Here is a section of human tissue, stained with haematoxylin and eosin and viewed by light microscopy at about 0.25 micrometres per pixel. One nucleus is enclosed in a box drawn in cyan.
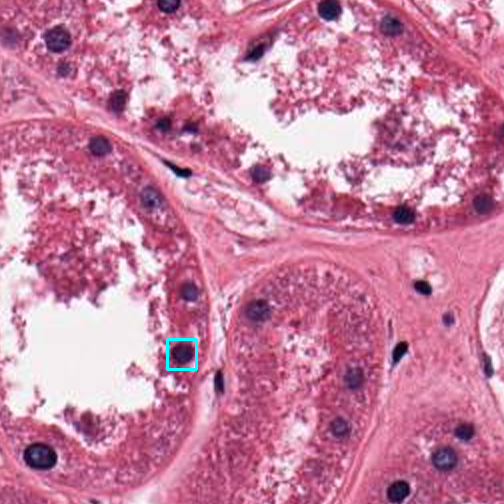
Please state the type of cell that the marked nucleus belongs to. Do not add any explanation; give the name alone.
proximal tubule cell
